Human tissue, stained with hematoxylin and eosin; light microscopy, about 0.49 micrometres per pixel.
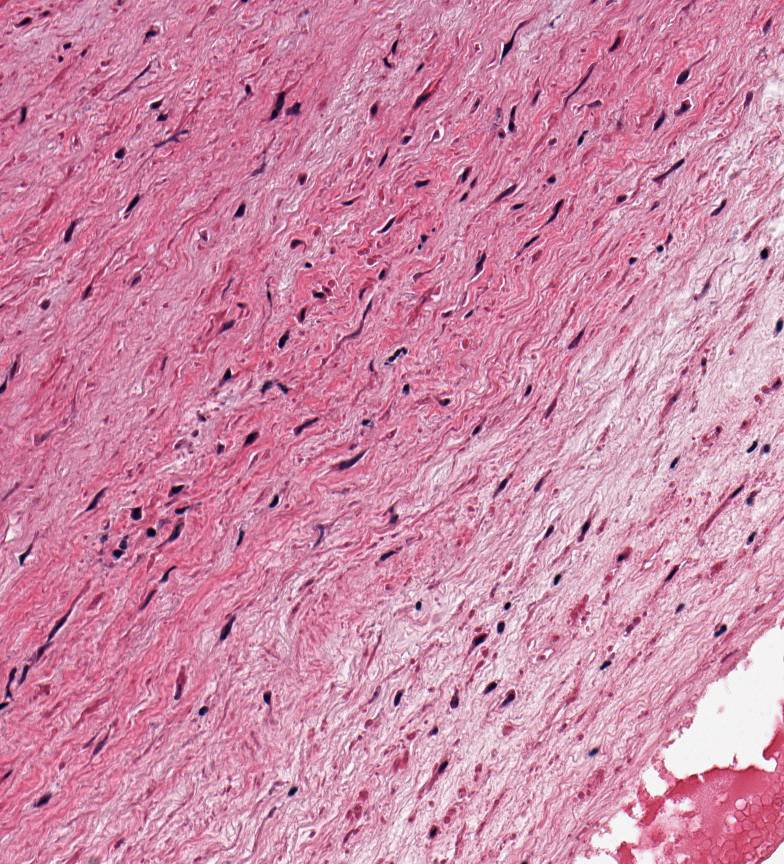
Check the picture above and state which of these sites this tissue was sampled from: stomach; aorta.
aorta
